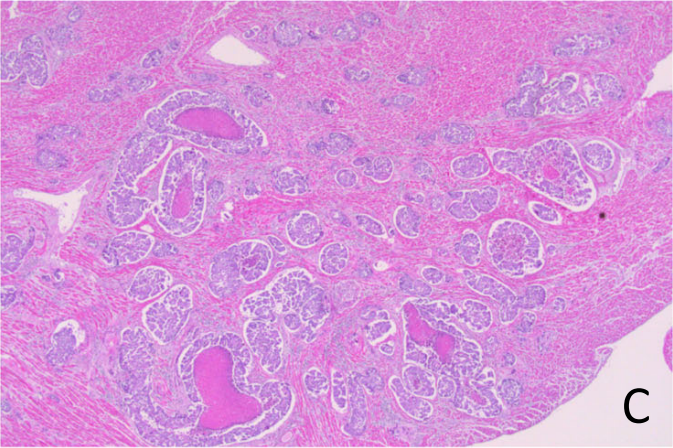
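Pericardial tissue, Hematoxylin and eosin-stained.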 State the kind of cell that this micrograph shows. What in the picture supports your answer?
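Many rounded nests and papillary clusters of crowded purple cells lie scattered through pink tissue. The clusters sit inside clear spaces separated from the surrounding pink bundles. Some clusters surround pink amorphous material. The answer: tumor cells.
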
